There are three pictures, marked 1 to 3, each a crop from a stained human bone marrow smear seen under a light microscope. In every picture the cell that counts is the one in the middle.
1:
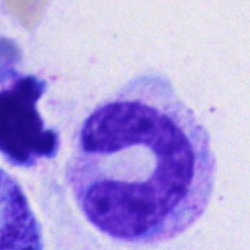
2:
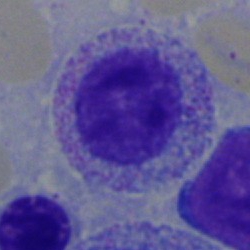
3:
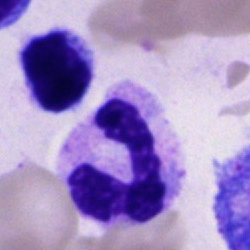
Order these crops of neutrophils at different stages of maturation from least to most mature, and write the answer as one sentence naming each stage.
From least to most mature, the sequence is given by crop 2 (a myelocyte), crop 1 (a band neutrophil) and crop 3 (a segmented neutrophil).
